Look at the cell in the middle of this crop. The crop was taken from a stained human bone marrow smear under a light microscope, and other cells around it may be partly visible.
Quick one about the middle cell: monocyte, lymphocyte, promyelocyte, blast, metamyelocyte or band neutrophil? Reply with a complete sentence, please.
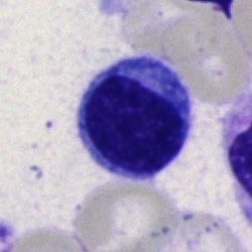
By type, the central cell of the crop is a lymphocyte.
